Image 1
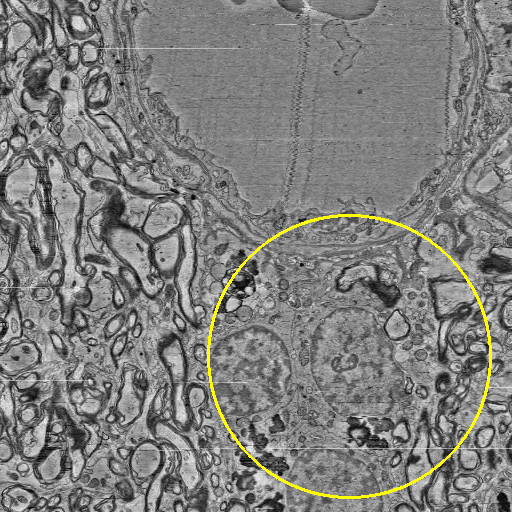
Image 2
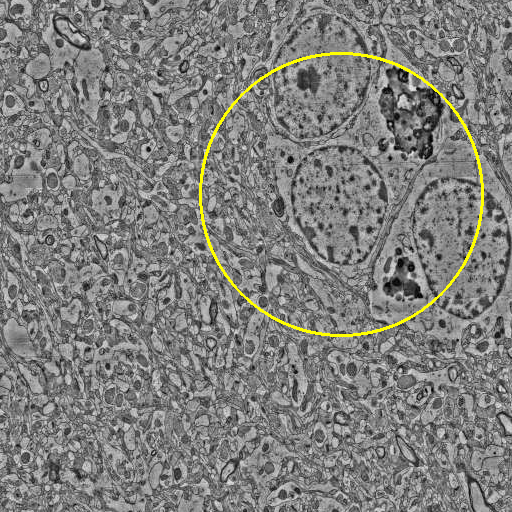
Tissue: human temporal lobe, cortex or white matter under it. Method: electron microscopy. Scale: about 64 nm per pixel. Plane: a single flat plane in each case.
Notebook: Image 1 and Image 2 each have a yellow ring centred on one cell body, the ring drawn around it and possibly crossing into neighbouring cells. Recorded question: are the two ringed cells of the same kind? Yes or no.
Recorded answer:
no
